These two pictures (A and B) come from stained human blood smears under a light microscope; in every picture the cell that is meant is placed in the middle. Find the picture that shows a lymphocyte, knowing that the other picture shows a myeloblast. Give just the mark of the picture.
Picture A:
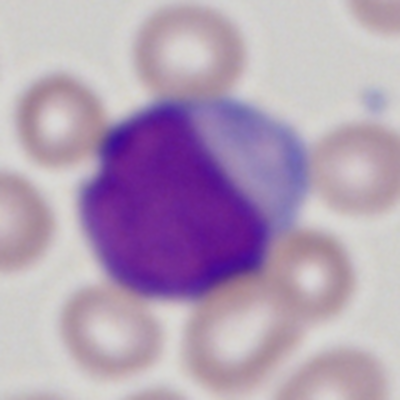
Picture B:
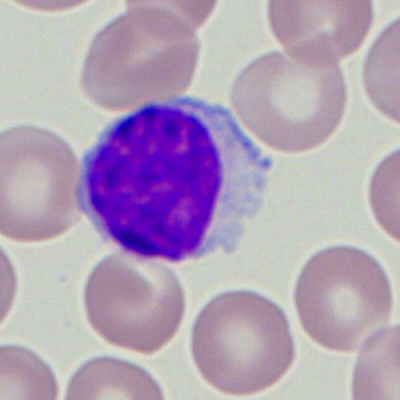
B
